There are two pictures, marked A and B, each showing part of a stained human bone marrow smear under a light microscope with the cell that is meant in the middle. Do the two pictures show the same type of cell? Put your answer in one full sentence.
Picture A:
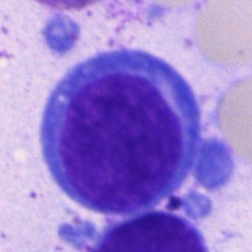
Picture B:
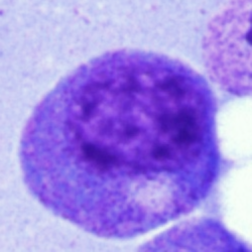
No, picture A shows a blast and picture B shows a promyelocyte.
